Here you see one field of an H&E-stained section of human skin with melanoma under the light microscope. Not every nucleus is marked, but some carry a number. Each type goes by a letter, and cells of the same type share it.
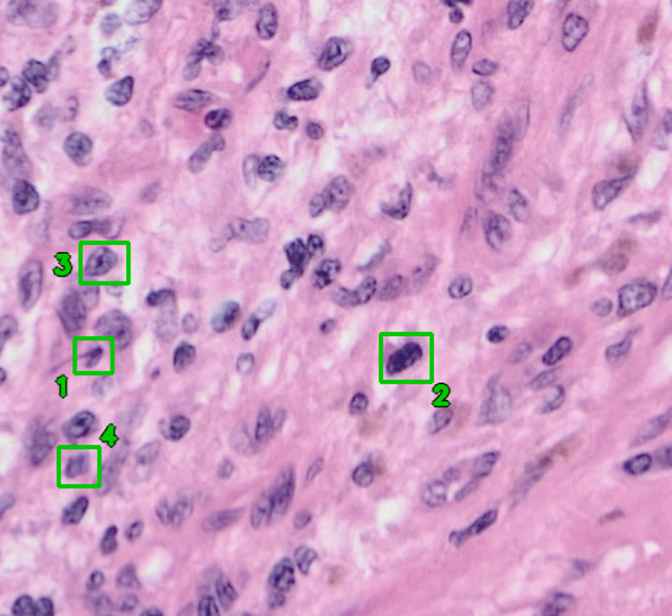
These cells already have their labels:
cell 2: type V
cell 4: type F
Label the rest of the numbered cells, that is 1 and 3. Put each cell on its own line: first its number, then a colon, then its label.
1: type F
3: type F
